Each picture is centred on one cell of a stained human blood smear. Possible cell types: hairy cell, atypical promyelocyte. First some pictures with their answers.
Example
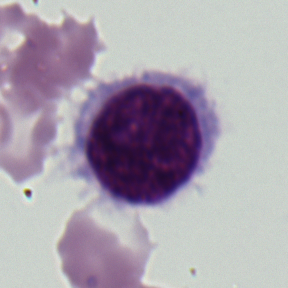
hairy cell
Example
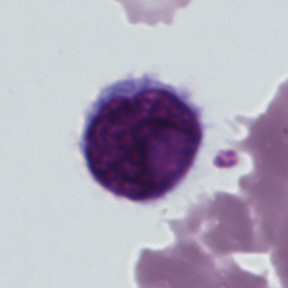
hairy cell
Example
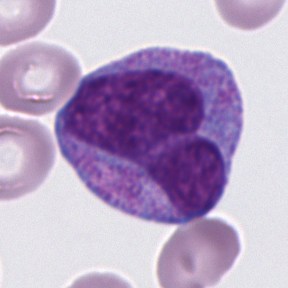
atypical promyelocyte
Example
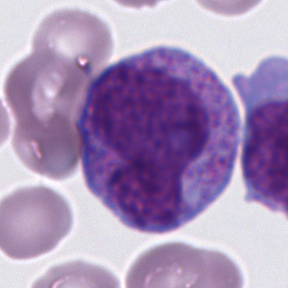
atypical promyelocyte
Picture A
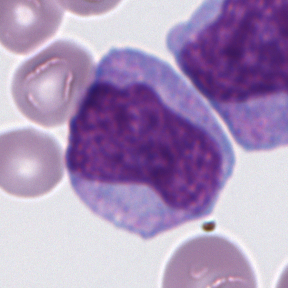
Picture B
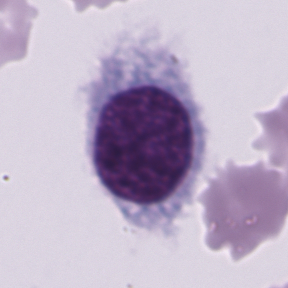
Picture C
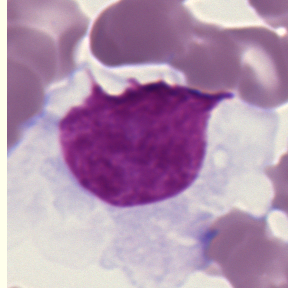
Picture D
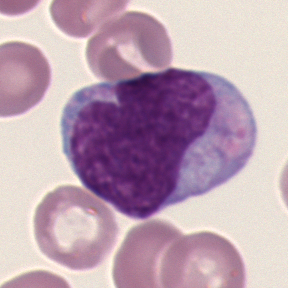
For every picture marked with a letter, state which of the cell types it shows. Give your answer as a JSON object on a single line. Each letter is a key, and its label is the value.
{"A": "atypical promyelocyte", "B": "hairy cell", "C": "hairy cell", "D": "atypical promyelocyte"}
